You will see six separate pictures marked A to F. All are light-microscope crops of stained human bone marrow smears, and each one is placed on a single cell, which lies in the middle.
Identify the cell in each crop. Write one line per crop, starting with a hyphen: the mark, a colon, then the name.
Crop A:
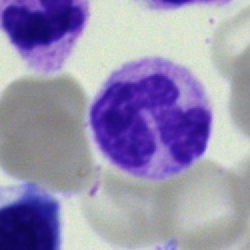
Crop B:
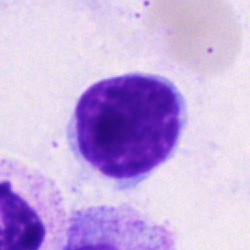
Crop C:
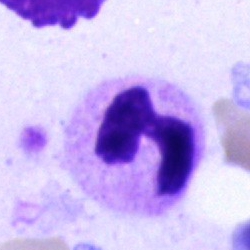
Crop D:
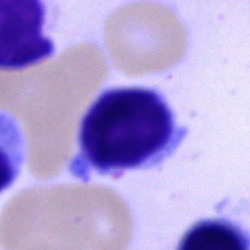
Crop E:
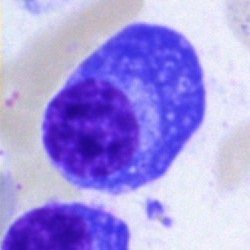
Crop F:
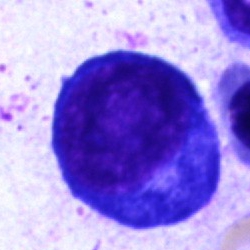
- A: neutrophil
- B: lymphocyte
- C: neutrophil
- D: lymphocyte
- E: plasma cell
- F: proerythroblast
